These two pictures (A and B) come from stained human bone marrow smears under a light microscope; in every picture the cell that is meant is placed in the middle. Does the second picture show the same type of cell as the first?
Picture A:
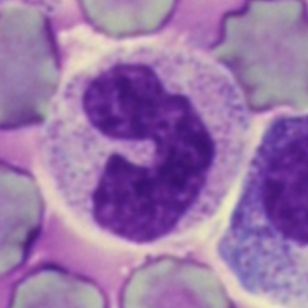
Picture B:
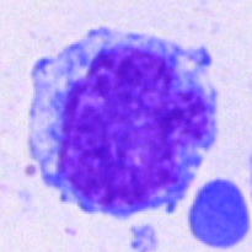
no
